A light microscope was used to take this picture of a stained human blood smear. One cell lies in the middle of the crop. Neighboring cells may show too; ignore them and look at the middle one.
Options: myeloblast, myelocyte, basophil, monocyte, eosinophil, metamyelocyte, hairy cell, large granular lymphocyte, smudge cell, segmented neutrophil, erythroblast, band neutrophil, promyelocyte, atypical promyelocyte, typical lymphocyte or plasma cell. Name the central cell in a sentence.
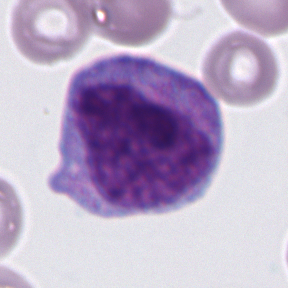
As for the cell in the middle, it is an atypical promyelocyte.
